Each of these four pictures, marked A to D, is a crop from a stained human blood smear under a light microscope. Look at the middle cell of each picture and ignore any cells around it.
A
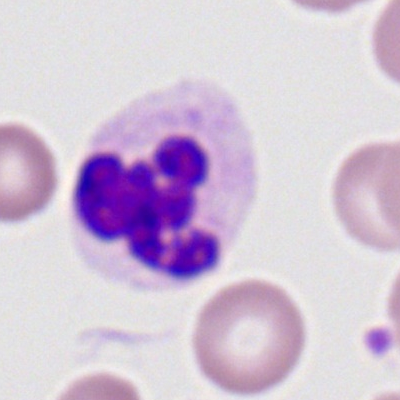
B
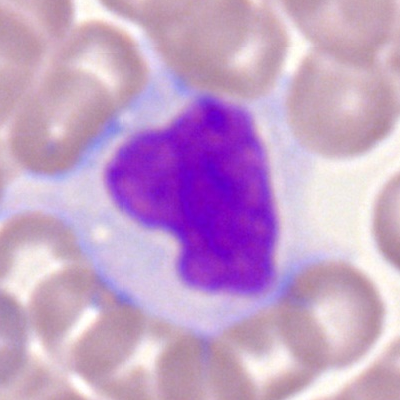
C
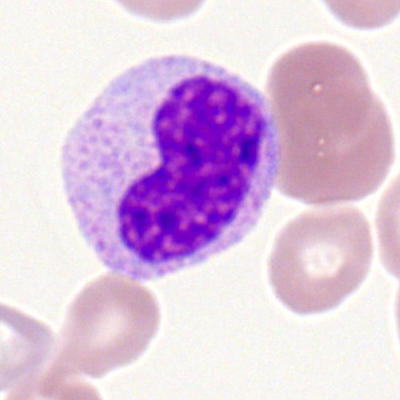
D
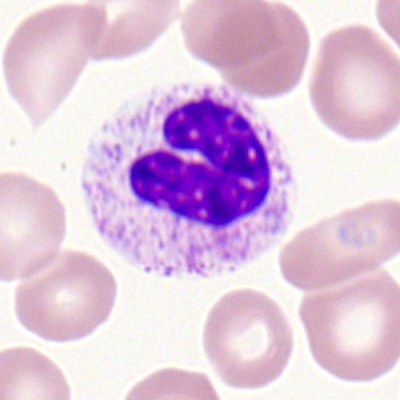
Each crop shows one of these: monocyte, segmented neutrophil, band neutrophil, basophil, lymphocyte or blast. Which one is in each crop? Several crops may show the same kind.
A: segmented neutrophil
B: monocyte
C: band neutrophil
D: band neutrophil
